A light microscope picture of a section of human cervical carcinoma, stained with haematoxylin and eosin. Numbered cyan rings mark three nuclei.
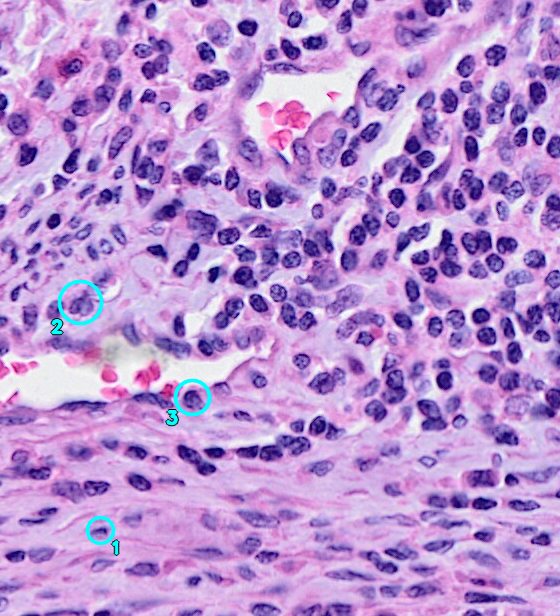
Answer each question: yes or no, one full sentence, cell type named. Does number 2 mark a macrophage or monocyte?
Yes, the cell that goes by number 2 is a macrophage or monocyte.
